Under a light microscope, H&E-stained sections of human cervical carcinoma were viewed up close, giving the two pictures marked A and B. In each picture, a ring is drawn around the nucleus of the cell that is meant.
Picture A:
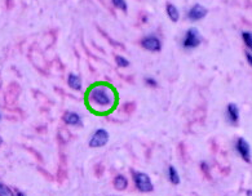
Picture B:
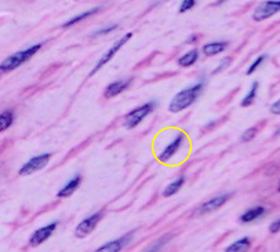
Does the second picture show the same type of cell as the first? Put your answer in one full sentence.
Yes, they are the same type: both are smooth muscle cells.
